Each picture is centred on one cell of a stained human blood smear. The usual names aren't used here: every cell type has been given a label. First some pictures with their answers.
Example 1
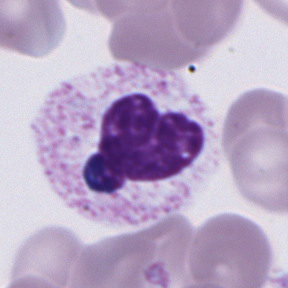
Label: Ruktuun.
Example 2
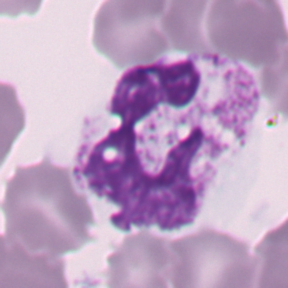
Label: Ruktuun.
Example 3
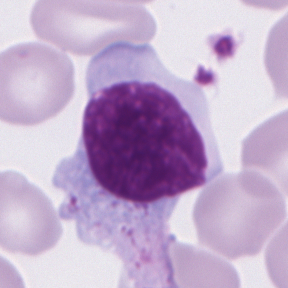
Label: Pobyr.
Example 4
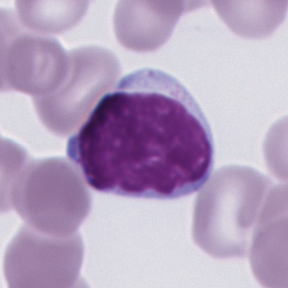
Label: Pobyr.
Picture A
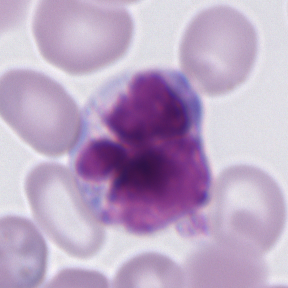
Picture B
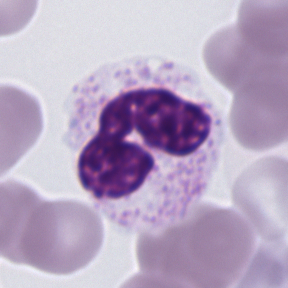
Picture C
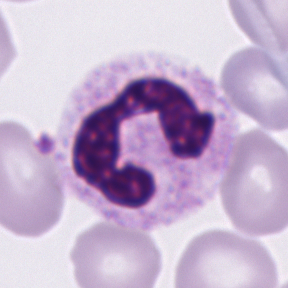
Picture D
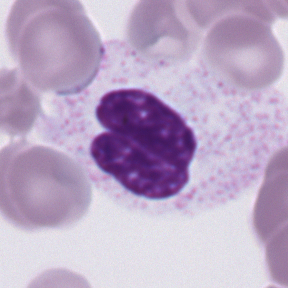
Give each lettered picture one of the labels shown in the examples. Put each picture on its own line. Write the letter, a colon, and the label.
A: Pobyr.
B: Ruktuun.
C: Ruktuun.
D: Ruktuun.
